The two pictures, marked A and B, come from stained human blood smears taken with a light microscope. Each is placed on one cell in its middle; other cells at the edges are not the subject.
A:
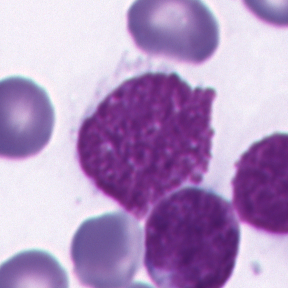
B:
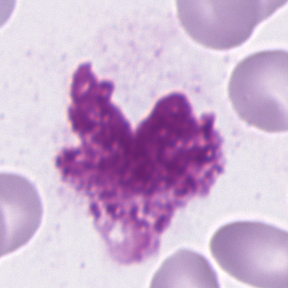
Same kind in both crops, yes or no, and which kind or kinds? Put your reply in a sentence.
Yes, the cells that the two crops centre on are smudge cells.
